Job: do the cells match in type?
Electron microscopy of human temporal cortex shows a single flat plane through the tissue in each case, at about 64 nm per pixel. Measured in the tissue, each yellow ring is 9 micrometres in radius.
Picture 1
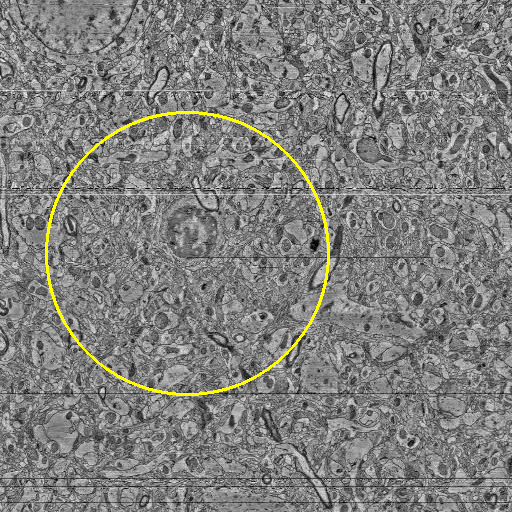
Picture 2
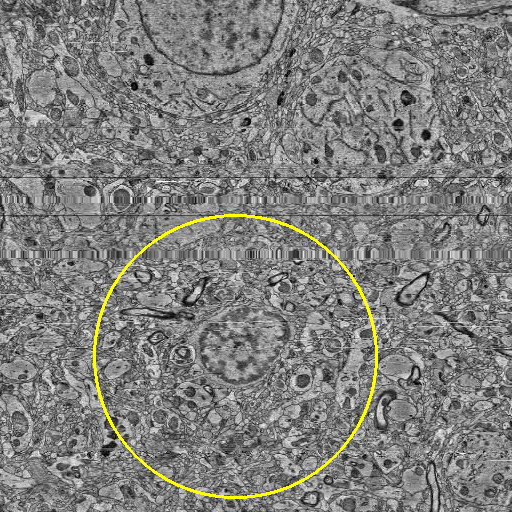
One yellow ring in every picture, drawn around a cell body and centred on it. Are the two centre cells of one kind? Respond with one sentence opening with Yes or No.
Yes, the ringed cells in the two pictures are of one and the same kind.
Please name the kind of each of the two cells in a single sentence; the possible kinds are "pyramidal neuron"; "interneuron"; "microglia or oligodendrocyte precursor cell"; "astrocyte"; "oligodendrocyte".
Each one of the two ringed cells is an oligodendrocyte.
